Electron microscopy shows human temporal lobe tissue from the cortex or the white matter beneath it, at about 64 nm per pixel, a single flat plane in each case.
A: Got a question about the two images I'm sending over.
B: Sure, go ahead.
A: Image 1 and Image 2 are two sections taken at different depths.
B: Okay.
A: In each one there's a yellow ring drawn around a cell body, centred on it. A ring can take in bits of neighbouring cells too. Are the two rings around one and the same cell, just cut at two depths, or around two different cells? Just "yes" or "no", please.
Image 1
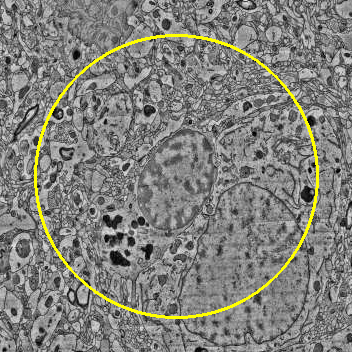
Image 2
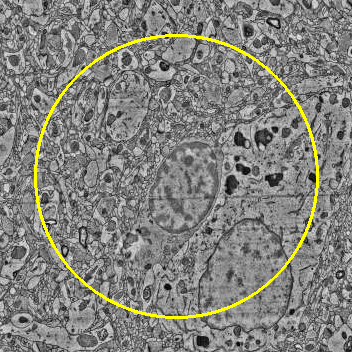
yes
